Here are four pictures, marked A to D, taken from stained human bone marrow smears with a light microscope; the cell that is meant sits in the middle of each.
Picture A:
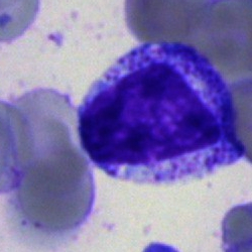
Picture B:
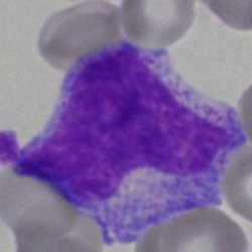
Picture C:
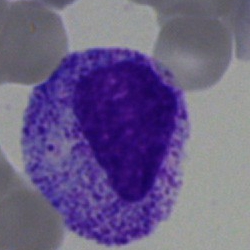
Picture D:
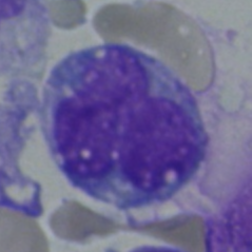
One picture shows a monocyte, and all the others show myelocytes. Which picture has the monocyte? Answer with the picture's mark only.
D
